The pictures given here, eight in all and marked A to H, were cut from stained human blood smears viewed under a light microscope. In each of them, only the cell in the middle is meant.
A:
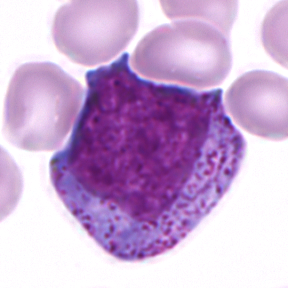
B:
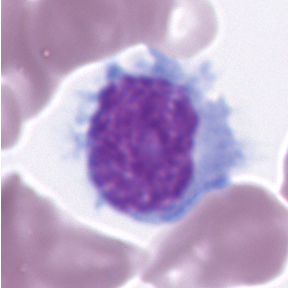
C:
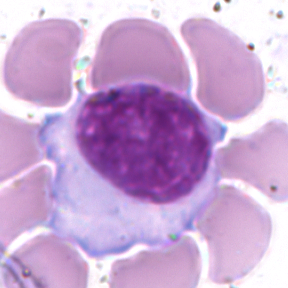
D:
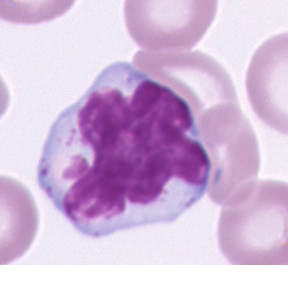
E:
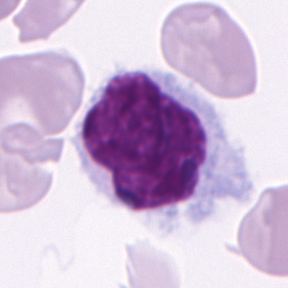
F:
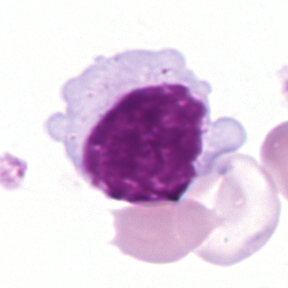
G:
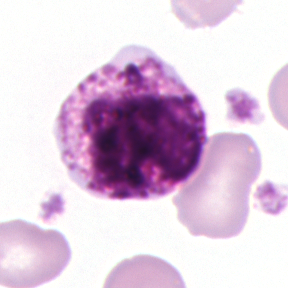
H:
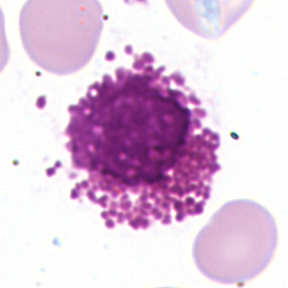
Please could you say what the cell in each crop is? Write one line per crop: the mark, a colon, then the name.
A: promyelocyte
B: hairy cell
C: plasma cell
D: large granular lymphocyte
E: hairy cell
F: large granular lymphocyte
G: basophil
H: eosinophil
